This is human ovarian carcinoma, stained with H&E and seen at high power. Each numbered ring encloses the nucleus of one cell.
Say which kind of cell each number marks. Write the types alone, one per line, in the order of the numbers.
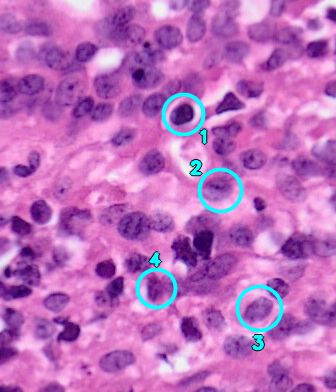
carcinoma cell
carcinoma cell
macrophage or monocyte
carcinoma cell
